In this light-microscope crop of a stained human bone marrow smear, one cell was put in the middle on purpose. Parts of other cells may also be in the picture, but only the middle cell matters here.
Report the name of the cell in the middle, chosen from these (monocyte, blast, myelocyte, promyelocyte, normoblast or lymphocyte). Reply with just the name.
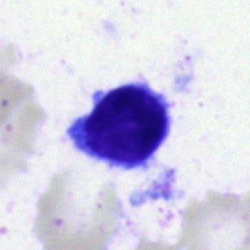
lymphocyte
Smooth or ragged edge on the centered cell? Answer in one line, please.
No smooth contour is present; the border is ragged or extended into projections.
